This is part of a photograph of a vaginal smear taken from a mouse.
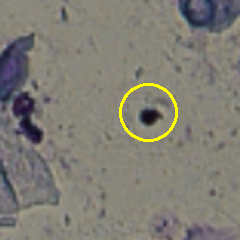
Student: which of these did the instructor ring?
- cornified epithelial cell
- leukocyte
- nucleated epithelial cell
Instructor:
The cell I ringed is a leukocyte.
